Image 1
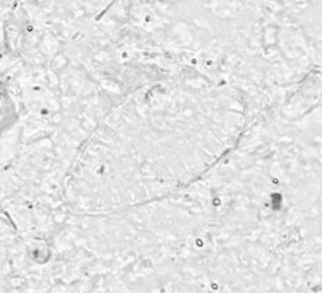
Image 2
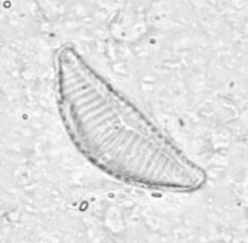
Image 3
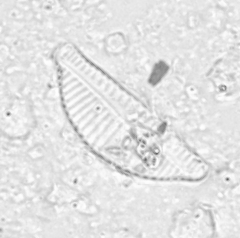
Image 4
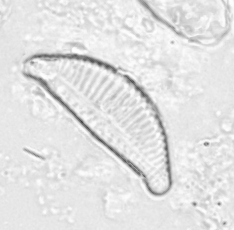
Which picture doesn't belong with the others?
Picture 1.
